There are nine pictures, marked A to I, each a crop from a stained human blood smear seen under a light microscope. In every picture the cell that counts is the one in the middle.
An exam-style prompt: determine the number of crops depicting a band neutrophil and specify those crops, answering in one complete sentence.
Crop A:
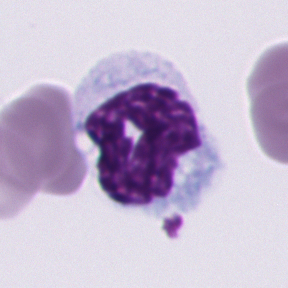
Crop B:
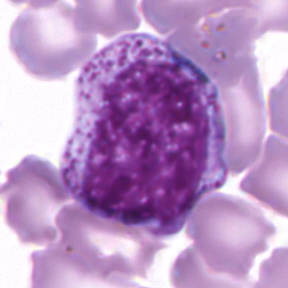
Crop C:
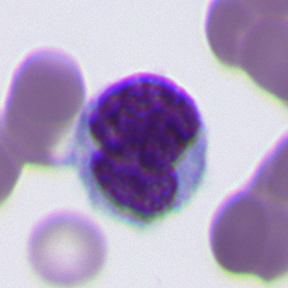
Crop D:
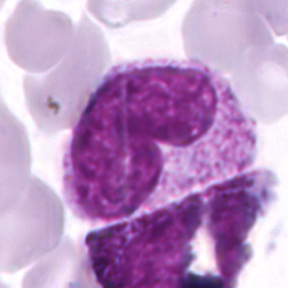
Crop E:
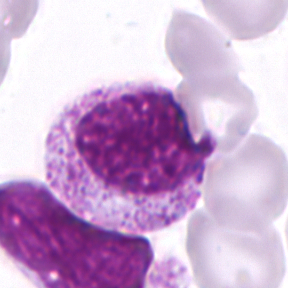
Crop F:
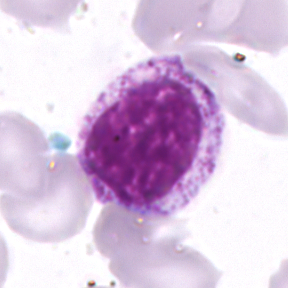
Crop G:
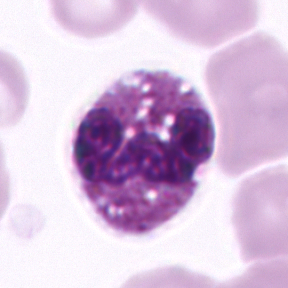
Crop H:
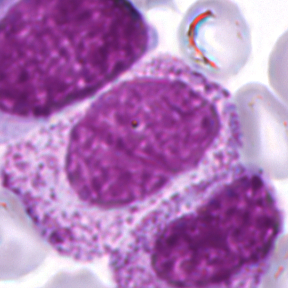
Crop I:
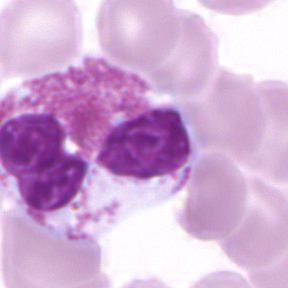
Only in crop D does a band neutrophil occupy the centre.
